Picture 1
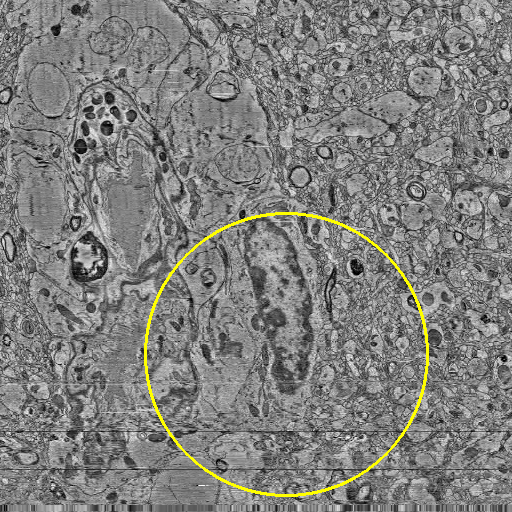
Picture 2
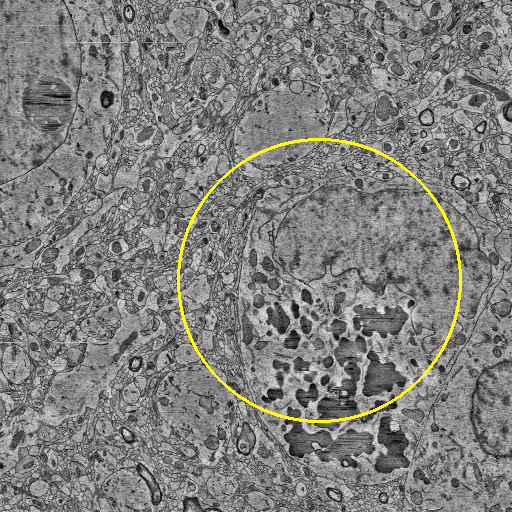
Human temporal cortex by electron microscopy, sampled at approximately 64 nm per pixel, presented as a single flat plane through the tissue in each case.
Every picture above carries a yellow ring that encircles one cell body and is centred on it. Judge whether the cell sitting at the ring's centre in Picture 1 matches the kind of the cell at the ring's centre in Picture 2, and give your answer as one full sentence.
No, the cells centred in the rings of Pictures 1 and 2 belong to two kinds.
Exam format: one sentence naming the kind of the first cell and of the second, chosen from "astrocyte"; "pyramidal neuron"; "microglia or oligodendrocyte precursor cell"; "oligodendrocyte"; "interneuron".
The first picture's cell is a microglial cell or oligodendrocyte precursor cell, and the second picture's cell is an interneuron.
